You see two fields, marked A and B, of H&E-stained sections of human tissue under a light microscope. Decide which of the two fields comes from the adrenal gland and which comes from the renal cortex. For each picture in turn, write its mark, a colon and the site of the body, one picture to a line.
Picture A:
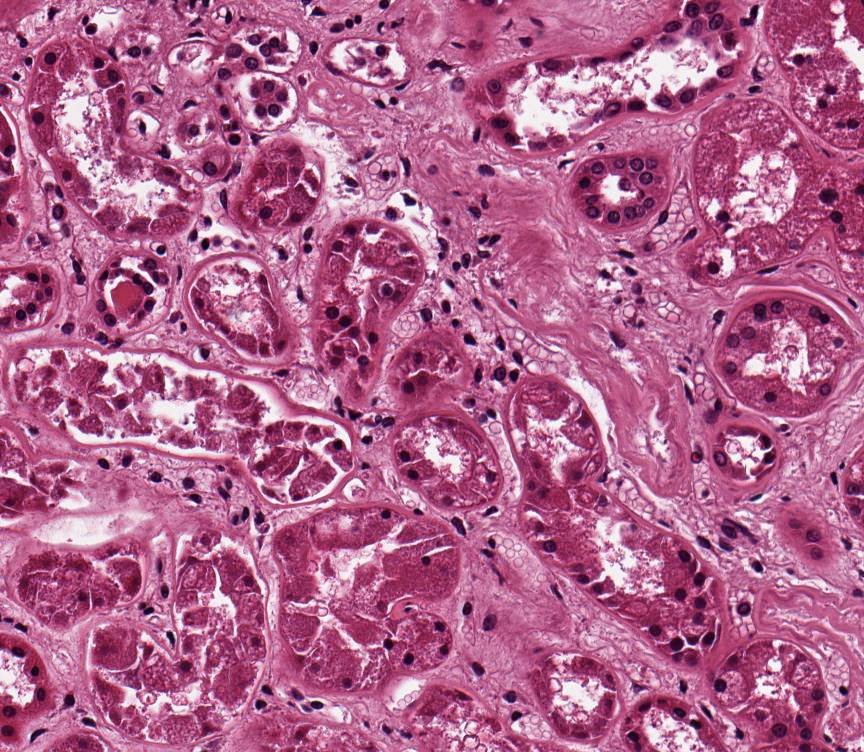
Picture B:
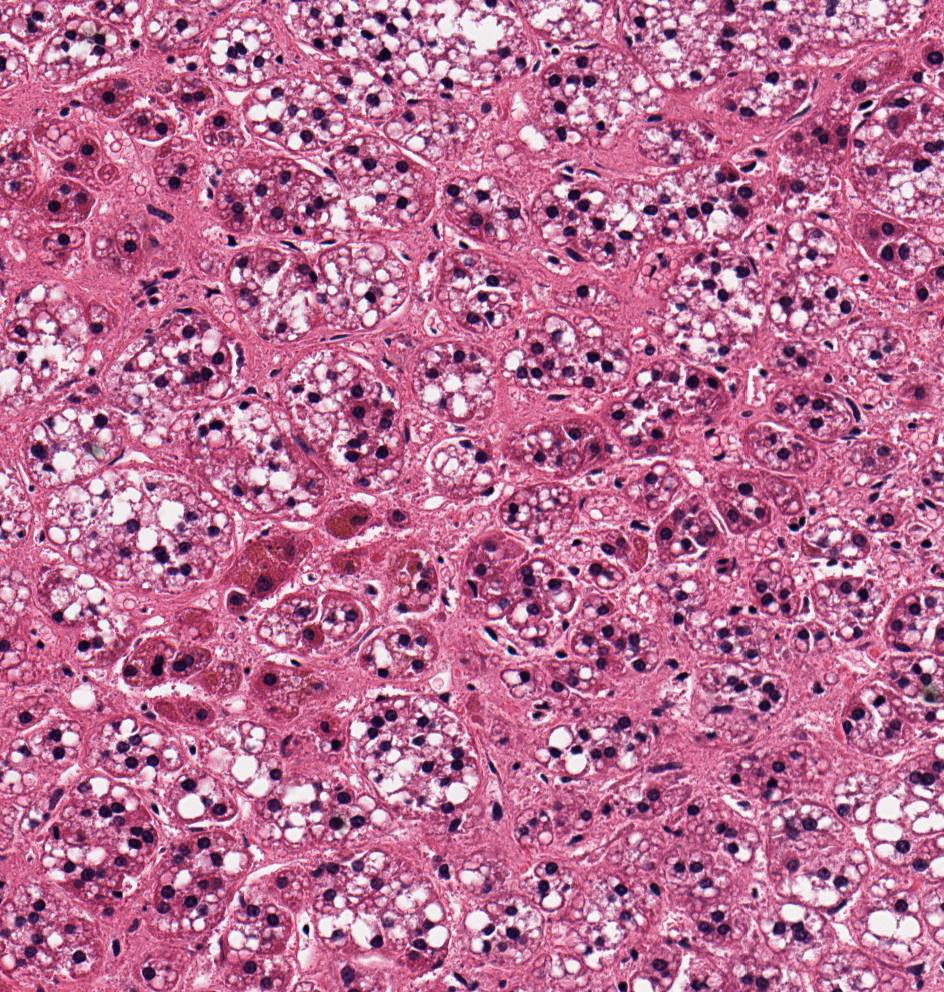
A: renal cortex
B: adrenal gland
